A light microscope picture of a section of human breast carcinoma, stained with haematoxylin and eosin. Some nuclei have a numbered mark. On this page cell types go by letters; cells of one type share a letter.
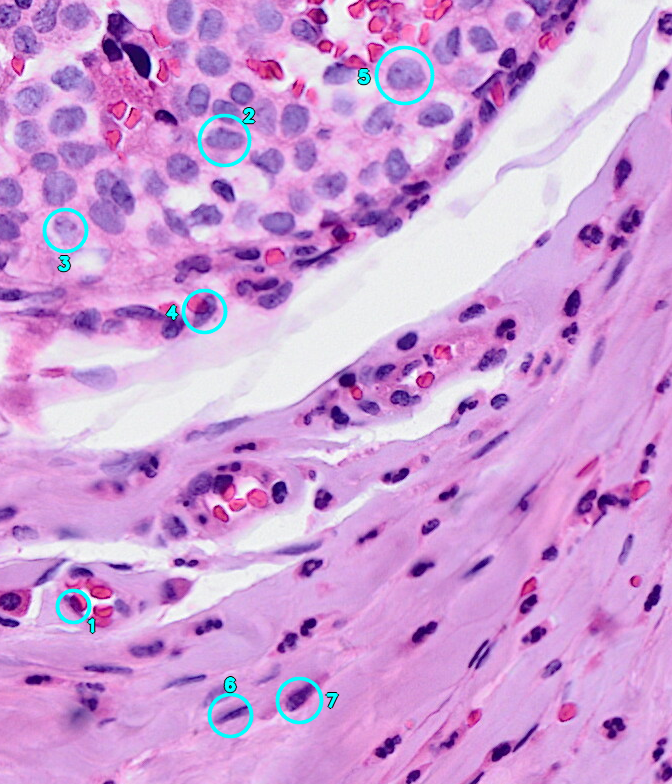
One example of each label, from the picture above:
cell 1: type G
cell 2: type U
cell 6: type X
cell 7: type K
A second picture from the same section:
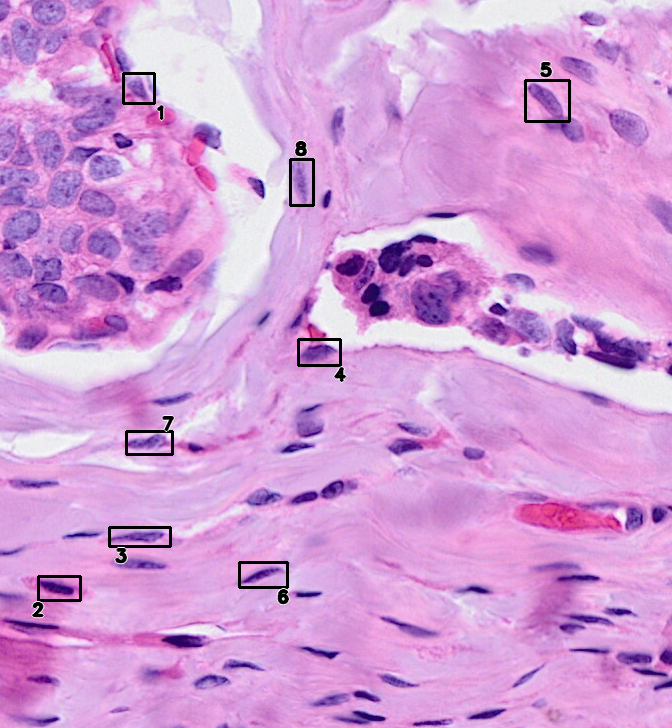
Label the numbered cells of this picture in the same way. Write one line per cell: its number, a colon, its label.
1: type G
2: type K
3: type X
4: type G
5: type X
6: type X
7: type X
8: type X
